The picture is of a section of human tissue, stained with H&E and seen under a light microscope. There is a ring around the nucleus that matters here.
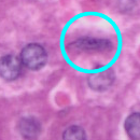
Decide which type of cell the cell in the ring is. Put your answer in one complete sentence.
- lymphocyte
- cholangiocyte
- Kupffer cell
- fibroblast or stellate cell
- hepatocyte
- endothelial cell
By cell type, the cell in the ring is a Kupffer cell.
